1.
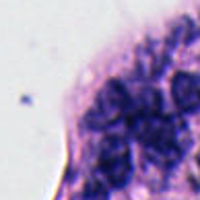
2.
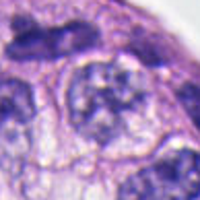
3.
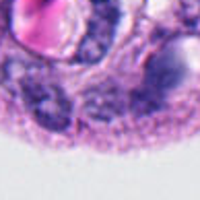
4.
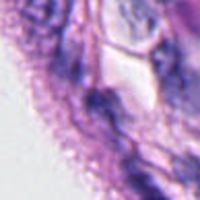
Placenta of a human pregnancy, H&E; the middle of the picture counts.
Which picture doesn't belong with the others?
Picture 1.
